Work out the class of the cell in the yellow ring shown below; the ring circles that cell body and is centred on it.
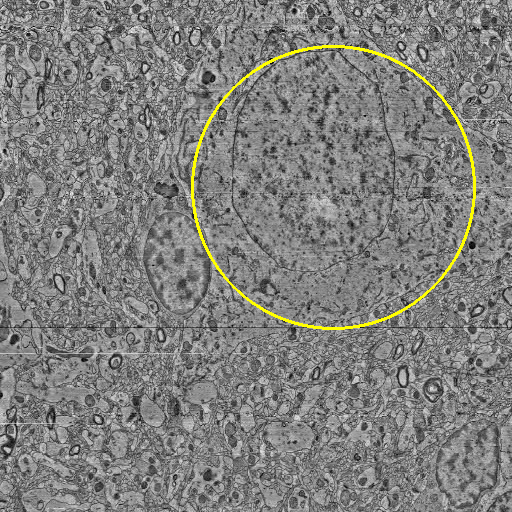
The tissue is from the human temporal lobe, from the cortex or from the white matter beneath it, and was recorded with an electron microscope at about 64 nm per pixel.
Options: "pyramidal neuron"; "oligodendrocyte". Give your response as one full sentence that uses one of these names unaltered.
The body ringed in yellow, right at the ring's centre, is that of a pyramidal neuron.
